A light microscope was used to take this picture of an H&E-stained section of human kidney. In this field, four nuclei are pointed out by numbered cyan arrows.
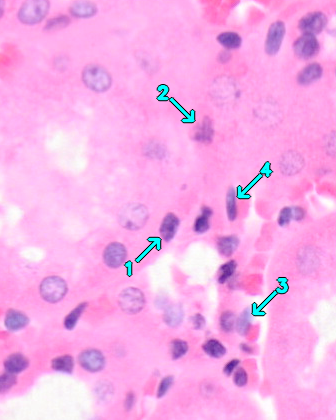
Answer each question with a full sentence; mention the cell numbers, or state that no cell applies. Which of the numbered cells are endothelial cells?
As for the cells numbered 3 and 4, they are endothelial cells.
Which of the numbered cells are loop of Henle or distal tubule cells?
Just one numbered cell is a loop of Henle or distal tubule cell, and that cell is number 1.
